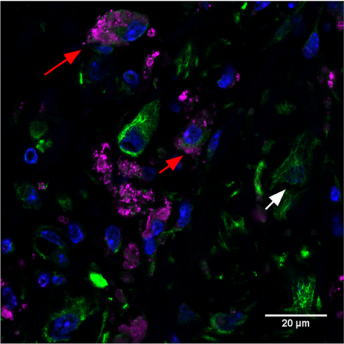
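Several cells carry coarse magenta granular signal around blue nuclei, and some of these also show green at their rim. Other cells are elongated and spindle-shaped, with green outlining their thin cytoplasm and extensions, giving a fibroblast-like appearance. Nuclei are blue and vary from round to oval. The cells are loosely spaced rather than forming an organised tissue layer.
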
